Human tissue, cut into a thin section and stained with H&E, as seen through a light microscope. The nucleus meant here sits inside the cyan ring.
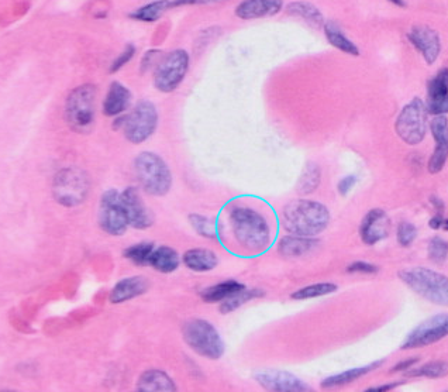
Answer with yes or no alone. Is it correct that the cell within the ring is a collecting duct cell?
yes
